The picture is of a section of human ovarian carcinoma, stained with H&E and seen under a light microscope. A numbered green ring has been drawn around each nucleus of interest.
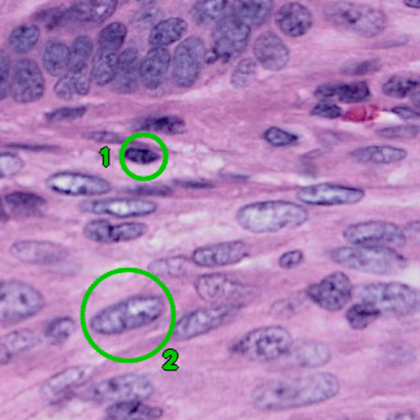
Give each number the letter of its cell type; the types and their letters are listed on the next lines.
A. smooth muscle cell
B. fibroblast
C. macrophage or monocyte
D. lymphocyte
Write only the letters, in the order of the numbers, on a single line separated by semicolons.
D; B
